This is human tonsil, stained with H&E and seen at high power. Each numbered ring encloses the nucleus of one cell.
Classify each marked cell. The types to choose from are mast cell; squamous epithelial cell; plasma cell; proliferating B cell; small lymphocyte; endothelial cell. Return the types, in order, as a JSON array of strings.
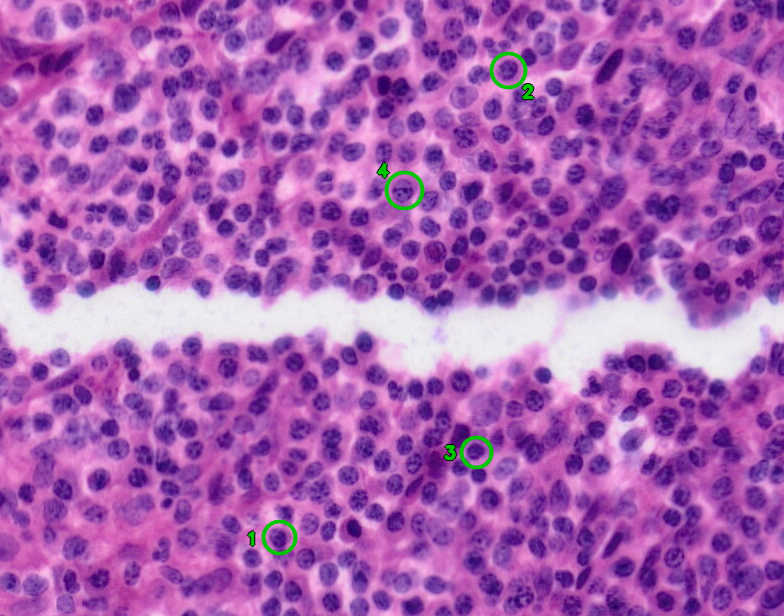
["plasma cell", "plasma cell", "small lymphocyte", "plasma cell"]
